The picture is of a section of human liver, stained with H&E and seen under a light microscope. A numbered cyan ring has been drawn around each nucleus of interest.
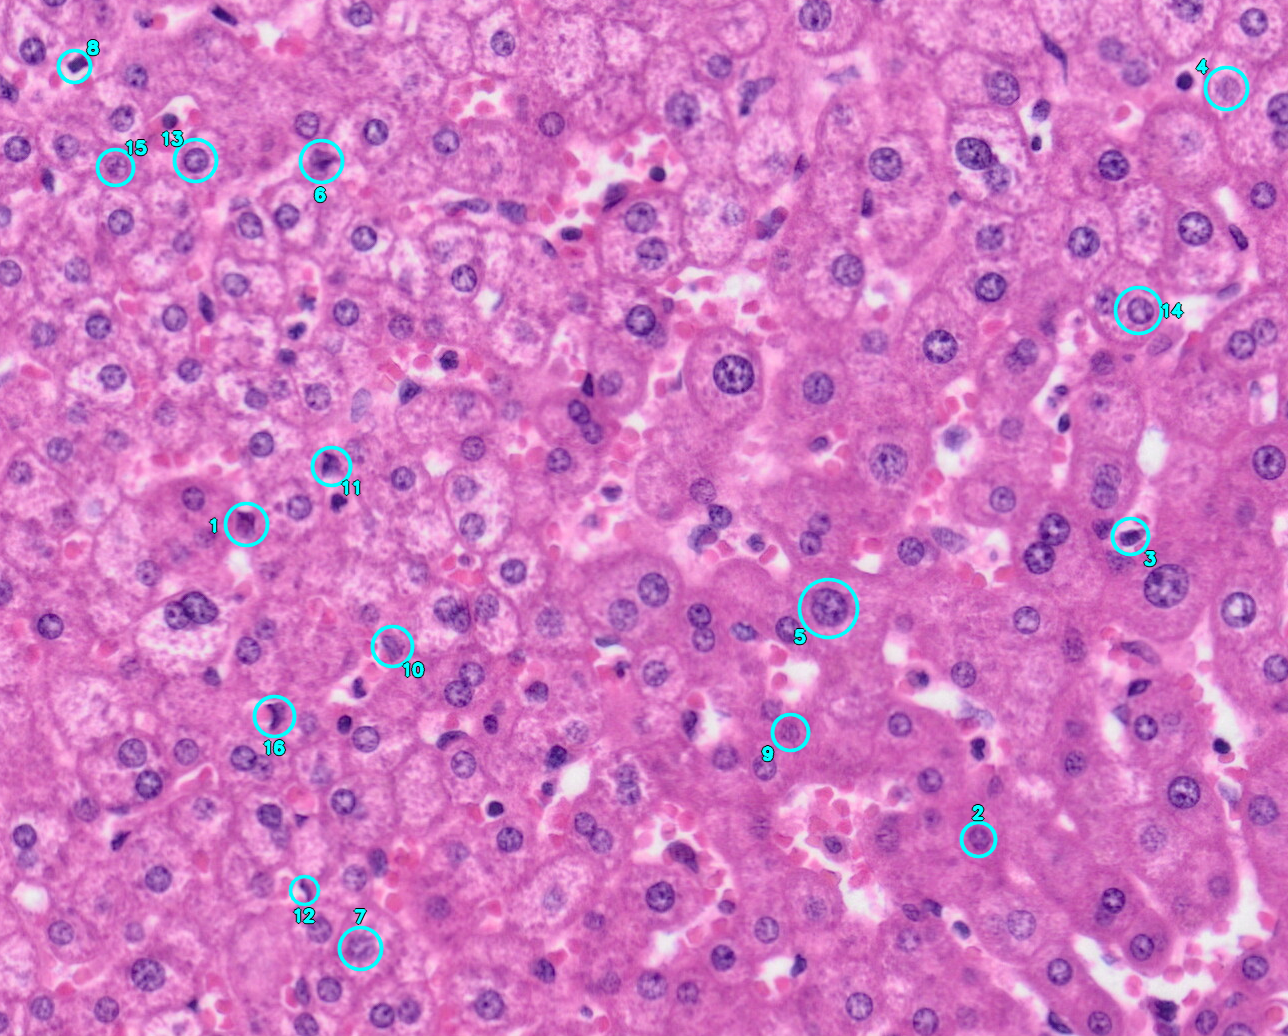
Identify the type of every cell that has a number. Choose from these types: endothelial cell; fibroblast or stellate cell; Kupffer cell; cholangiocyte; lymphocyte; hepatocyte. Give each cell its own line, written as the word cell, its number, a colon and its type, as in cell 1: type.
cell 1: endothelial cell
cell 2: hepatocyte
cell 3: lymphocyte
cell 4: hepatocyte
cell 5: hepatocyte
cell 6: endothelial cell
cell 7: hepatocyte
cell 8: lymphocyte
cell 9: hepatocyte
cell 10: endothelial cell
cell 11: endothelial cell
cell 12: endothelial cell
cell 13: hepatocyte
cell 14: hepatocyte
cell 15: hepatocyte
cell 16: endothelial cell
